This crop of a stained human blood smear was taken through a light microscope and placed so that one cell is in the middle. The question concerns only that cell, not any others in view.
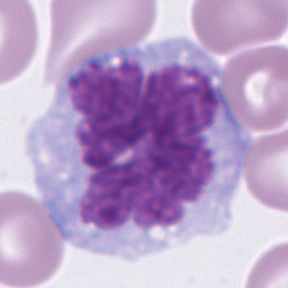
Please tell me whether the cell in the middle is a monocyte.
yes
